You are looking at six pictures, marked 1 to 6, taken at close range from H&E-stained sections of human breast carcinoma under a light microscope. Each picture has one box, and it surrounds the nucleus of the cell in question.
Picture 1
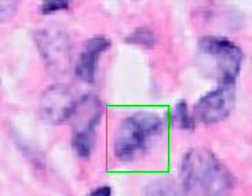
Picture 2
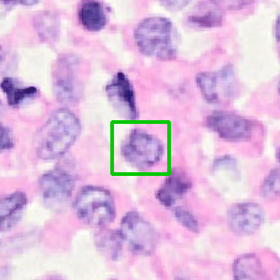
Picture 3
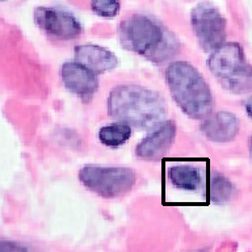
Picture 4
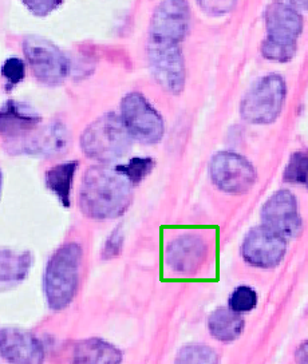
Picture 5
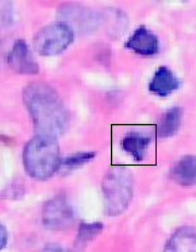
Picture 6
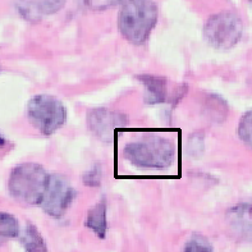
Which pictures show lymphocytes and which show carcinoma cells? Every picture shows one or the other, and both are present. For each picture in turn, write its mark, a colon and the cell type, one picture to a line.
1: carcinoma cell
2: carcinoma cell
3: lymphocyte
4: carcinoma cell
5: lymphocyte
6: carcinoma cell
